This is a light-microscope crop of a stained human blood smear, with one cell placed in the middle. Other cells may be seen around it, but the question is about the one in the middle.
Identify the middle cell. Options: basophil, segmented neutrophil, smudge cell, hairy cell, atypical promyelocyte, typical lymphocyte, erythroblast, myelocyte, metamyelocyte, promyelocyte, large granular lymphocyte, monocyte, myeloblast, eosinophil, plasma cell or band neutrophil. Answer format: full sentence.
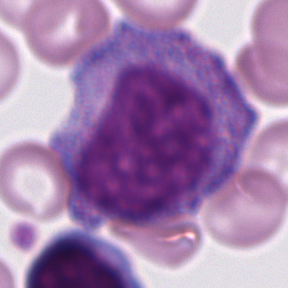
The centrally located cell in the crop is a promyelocyte.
